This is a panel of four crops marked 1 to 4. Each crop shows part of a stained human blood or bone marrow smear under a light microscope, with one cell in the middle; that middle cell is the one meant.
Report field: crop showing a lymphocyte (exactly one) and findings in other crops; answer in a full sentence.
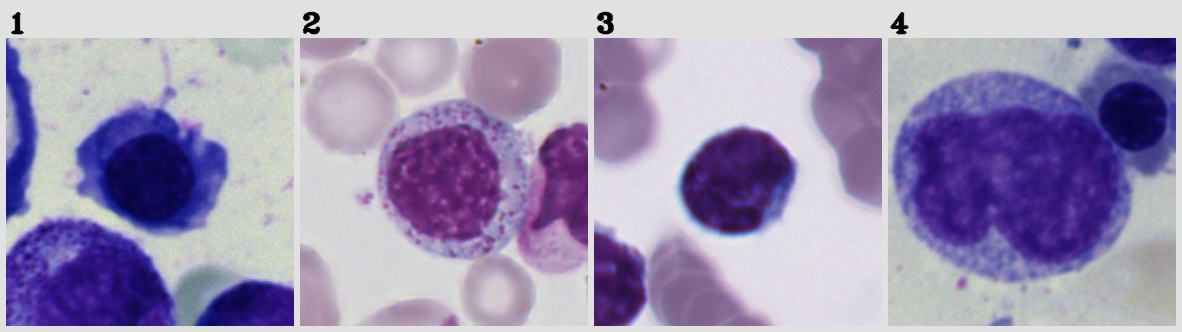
Crop 3 shows a lymphocyte, while crop 1 is a normoblast, crop 2 is a myelocyte and crop 4 is a monocyte.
